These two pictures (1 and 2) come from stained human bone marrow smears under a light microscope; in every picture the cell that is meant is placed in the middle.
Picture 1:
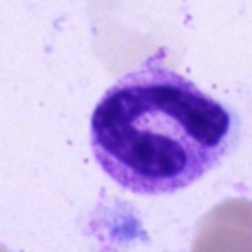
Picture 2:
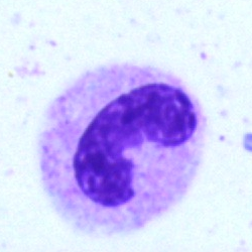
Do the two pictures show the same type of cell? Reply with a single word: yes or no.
yes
